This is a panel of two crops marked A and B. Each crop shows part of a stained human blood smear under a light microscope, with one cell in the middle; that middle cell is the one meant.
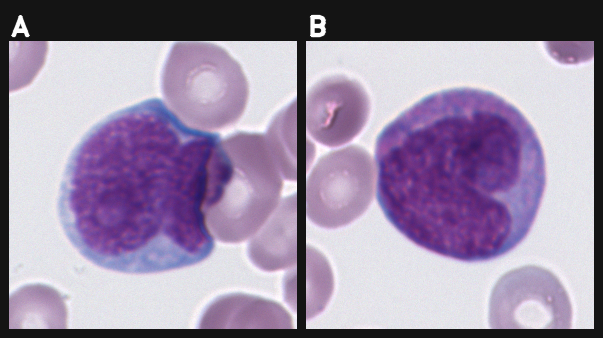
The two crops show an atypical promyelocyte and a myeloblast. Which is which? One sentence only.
Shown in crop A is a myeloblast, and shown in crop B is an atypical promyelocyte.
